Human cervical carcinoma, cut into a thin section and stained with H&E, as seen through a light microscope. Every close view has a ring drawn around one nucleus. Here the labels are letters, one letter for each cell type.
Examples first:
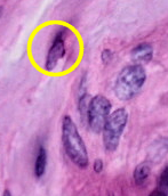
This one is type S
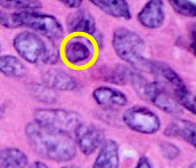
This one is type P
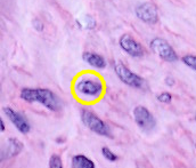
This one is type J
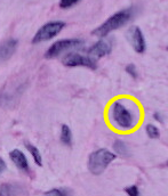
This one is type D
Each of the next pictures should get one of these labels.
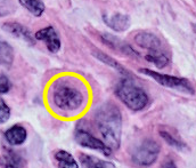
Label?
type S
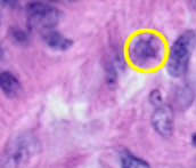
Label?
type S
